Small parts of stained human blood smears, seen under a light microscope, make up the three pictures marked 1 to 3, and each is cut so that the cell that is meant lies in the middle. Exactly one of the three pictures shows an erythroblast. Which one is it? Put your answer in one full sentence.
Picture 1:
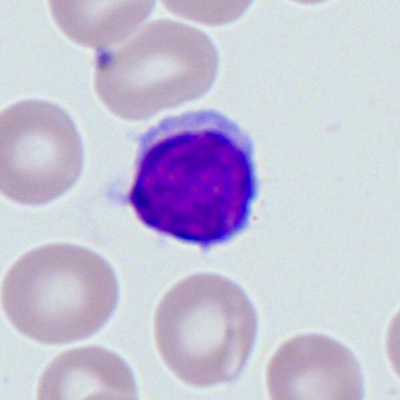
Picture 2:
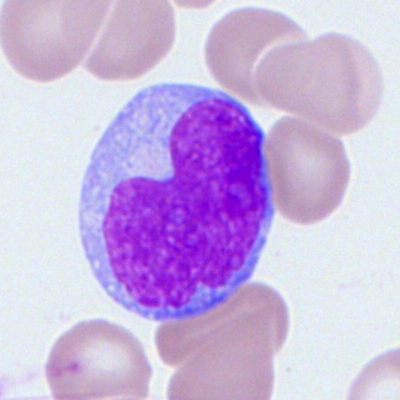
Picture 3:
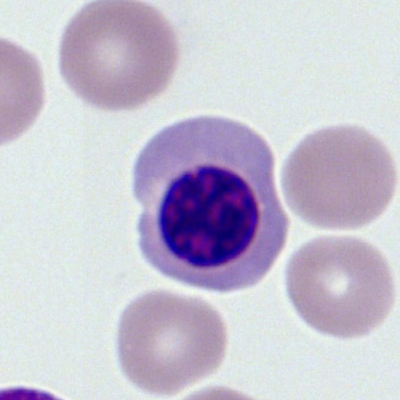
Picture 3 shows the erythroblast.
